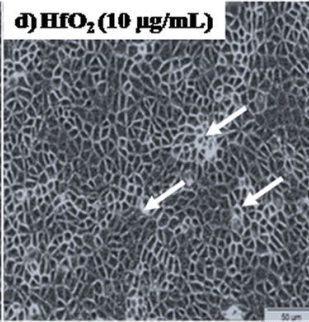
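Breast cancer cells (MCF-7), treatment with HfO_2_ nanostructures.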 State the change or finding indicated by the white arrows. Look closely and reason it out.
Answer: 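Cell death. These cells stand out from the flat, polygonal cells of the surrounding monolayer.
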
